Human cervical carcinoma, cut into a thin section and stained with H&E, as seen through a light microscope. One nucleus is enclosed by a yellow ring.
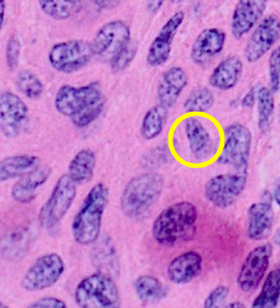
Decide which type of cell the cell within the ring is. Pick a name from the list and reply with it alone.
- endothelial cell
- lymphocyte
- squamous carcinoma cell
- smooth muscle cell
squamous carcinoma cell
